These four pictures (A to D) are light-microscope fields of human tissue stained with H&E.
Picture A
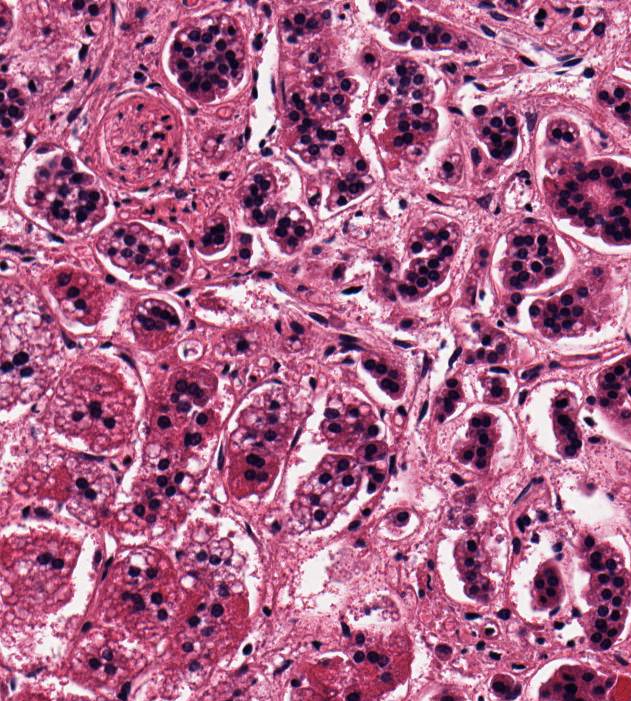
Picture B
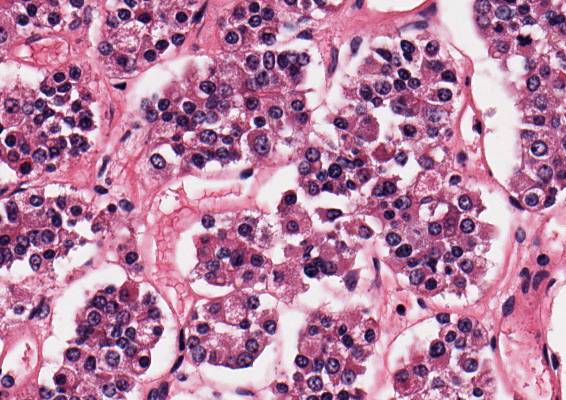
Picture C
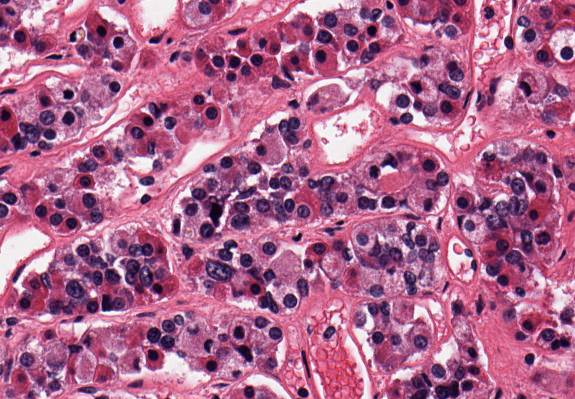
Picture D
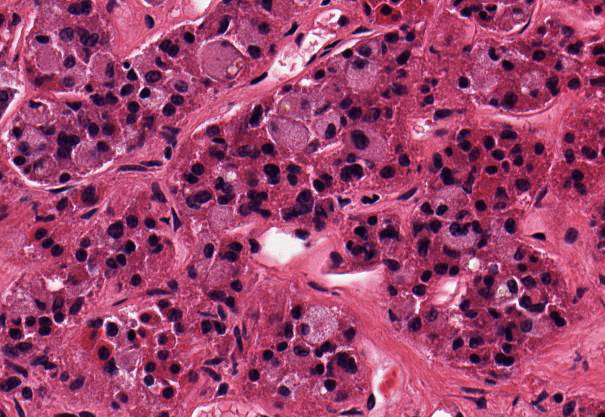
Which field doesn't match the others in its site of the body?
A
